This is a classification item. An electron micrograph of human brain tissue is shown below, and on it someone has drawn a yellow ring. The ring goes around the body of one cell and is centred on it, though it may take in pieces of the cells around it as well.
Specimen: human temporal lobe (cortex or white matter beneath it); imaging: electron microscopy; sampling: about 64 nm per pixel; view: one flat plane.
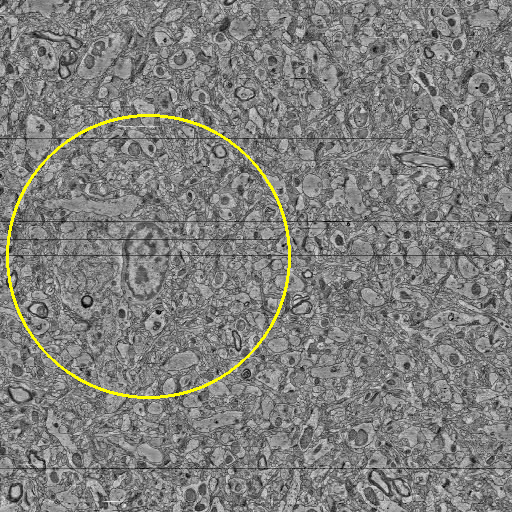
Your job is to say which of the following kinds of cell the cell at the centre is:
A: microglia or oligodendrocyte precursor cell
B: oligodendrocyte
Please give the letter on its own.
B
